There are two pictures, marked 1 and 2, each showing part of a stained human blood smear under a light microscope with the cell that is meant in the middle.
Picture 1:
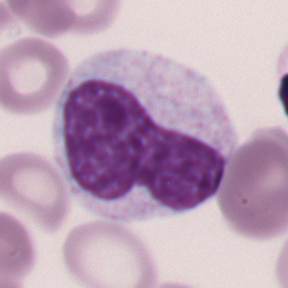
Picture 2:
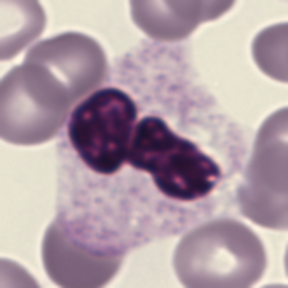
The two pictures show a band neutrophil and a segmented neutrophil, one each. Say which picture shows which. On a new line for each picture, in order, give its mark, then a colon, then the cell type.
1: band neutrophil
2: segmented neutrophil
